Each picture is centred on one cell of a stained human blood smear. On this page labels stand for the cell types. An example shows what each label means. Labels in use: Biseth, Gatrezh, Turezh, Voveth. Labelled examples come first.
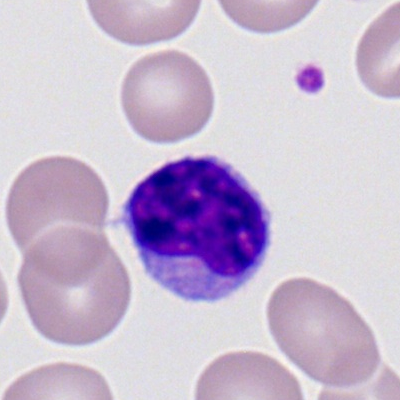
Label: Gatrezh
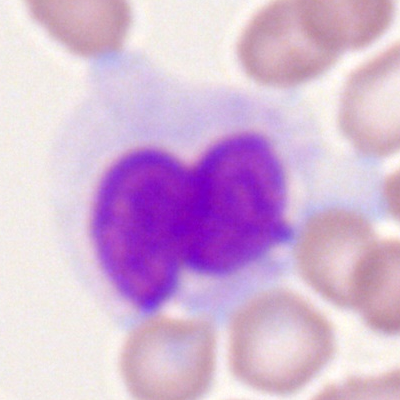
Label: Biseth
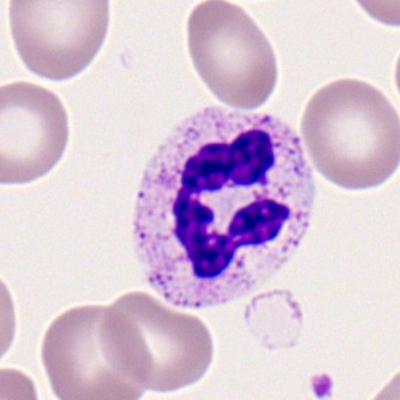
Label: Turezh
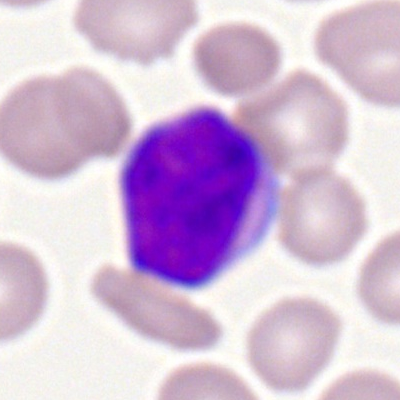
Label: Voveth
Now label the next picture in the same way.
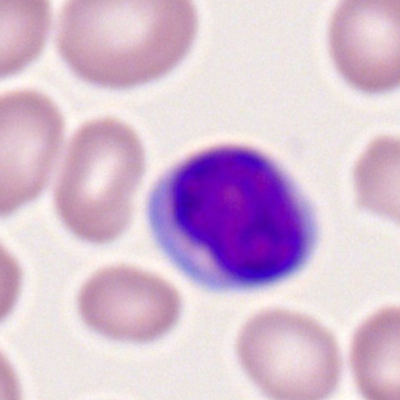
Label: Gatrezh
